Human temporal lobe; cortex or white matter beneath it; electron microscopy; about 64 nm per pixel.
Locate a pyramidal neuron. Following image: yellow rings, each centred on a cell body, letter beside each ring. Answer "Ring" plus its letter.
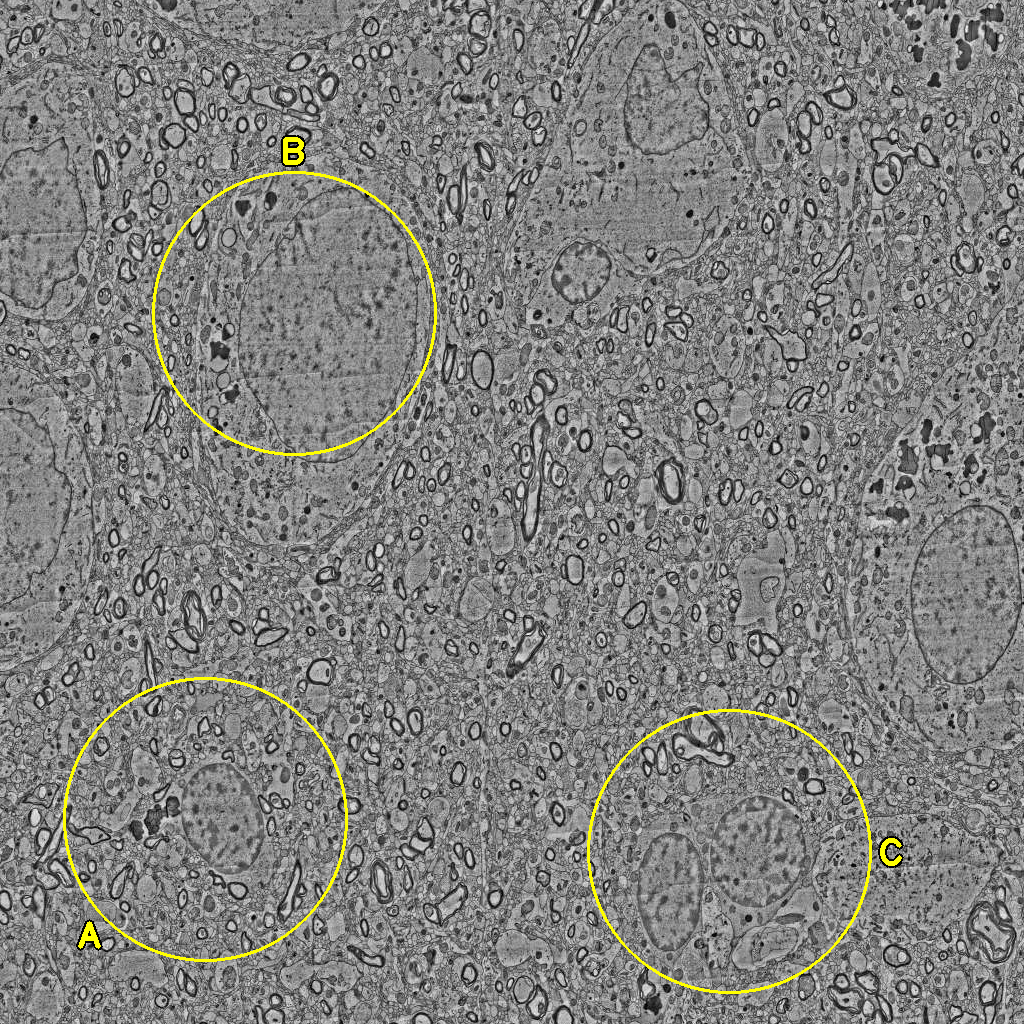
Ring B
